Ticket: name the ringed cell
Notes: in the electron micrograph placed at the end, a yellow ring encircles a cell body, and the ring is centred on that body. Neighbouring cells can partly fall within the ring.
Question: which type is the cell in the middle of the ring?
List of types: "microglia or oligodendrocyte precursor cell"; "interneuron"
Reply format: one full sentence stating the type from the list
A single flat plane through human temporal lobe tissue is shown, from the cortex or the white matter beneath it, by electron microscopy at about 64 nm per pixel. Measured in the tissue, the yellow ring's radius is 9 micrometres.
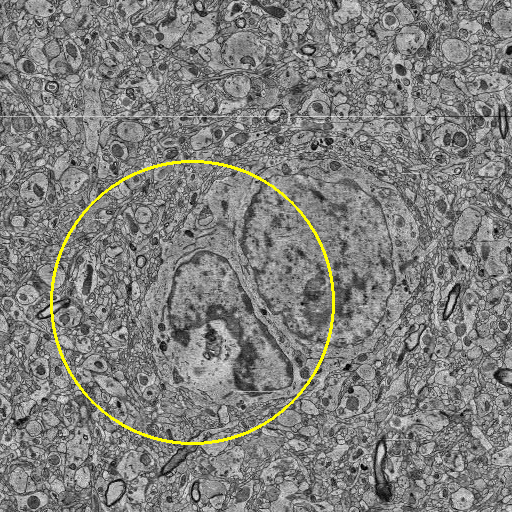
The cell sitting at the centre of the yellow ring is a microglial cell or oligodendrocyte precursor cell.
